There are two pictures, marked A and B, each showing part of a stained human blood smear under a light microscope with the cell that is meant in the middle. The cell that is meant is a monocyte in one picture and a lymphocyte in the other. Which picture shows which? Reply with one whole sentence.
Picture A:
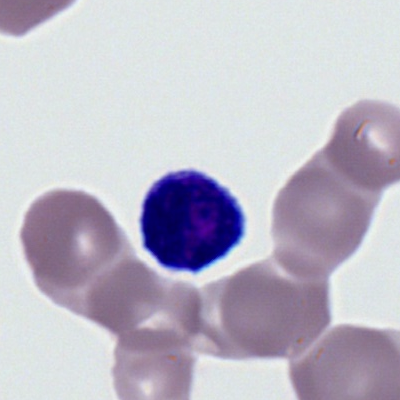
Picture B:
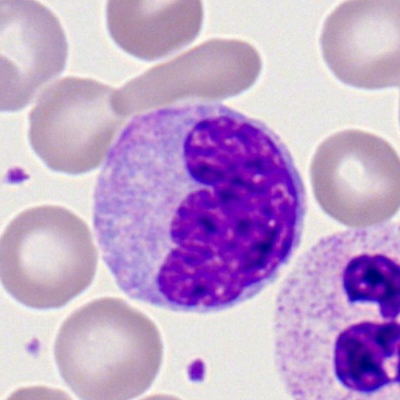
It is picture A that shows a lymphocyte, and picture B that shows a monocyte.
